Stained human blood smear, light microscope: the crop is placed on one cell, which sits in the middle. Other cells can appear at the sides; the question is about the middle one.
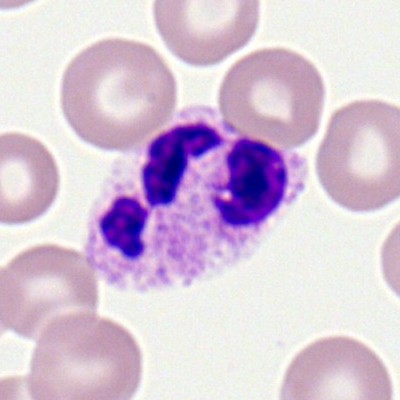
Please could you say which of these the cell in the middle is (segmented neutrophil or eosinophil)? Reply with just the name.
segmented neutrophil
